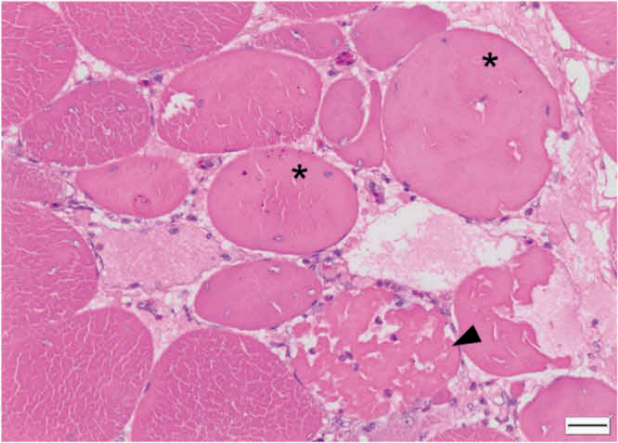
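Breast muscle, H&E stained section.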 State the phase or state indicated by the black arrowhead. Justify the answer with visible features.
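Necrotic. The arrowhead points to a fibre whose sarcoplasm is broken into irregular clumps. The fibre has lost its smooth uniform texture.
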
